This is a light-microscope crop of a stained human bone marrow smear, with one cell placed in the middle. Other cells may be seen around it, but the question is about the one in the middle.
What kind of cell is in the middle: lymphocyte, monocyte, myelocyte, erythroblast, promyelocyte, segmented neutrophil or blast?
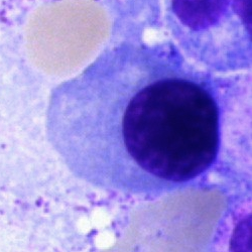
erythroblast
